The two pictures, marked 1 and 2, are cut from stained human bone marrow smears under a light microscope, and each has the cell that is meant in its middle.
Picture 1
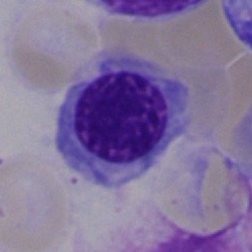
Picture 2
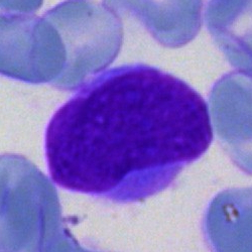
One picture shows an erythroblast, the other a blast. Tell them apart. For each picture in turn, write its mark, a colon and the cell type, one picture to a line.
1: erythroblast
2: blast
